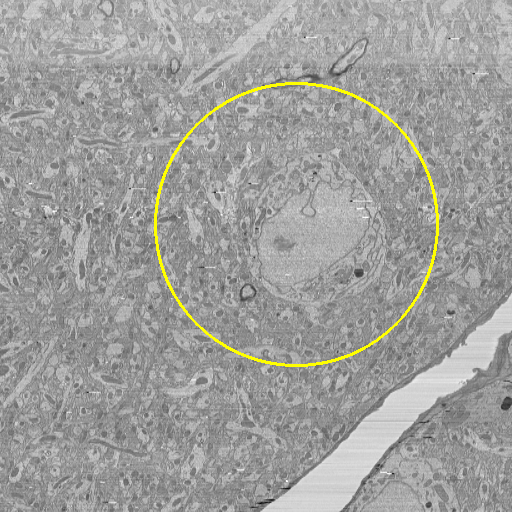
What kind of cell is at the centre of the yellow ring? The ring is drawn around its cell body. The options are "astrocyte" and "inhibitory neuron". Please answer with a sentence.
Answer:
The yellow ring marks the cell body of an inhibitory neuron.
